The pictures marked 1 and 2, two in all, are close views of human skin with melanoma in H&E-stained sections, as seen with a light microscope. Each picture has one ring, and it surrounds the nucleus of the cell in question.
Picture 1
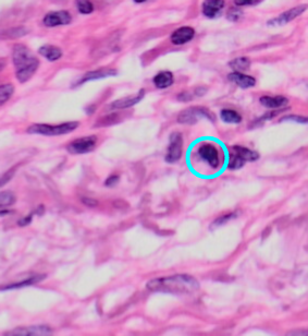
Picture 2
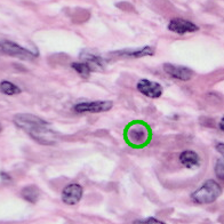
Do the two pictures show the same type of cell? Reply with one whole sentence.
Yes, they are the same type: both are plasma cells.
